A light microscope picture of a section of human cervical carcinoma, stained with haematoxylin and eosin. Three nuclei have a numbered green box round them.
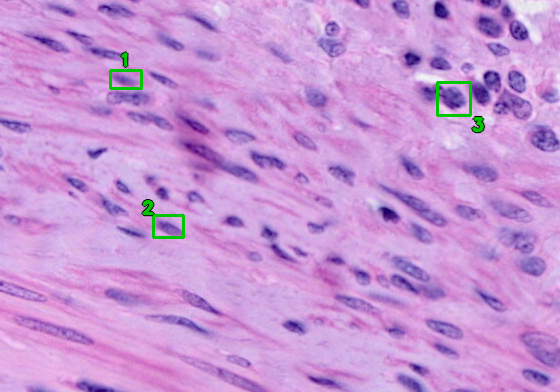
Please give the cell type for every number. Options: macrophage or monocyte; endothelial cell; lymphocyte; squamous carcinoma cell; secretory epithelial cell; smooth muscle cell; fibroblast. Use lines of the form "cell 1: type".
cell 1: smooth muscle cell
cell 2: smooth muscle cell
cell 3: lymphocyte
